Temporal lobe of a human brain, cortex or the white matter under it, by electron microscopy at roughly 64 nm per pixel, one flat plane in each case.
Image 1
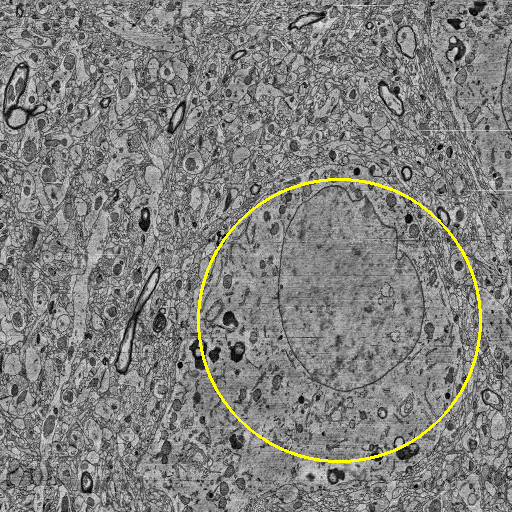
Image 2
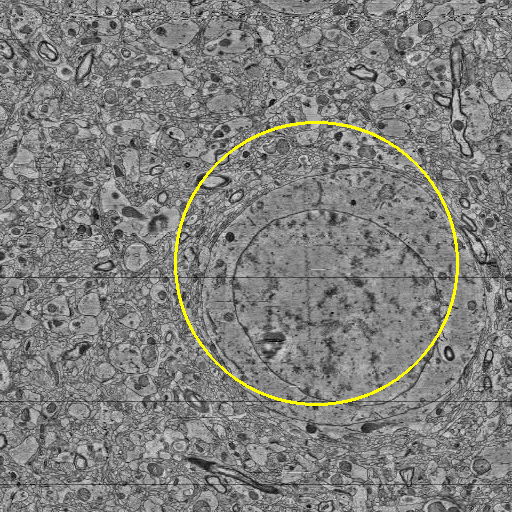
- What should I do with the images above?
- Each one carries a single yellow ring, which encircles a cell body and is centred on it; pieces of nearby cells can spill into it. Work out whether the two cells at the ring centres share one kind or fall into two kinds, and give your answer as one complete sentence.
The ring-centre cells of Image 1 and Image 2 share one kind.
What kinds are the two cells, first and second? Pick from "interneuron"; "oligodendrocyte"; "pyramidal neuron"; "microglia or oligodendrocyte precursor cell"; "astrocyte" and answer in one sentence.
The second cell is a pyramidal neuron, just as the first is.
